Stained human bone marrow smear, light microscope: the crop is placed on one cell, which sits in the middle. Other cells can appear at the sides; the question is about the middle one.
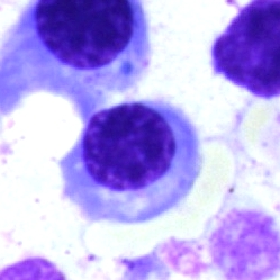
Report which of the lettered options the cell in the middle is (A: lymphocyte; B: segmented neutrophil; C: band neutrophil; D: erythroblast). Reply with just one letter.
D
